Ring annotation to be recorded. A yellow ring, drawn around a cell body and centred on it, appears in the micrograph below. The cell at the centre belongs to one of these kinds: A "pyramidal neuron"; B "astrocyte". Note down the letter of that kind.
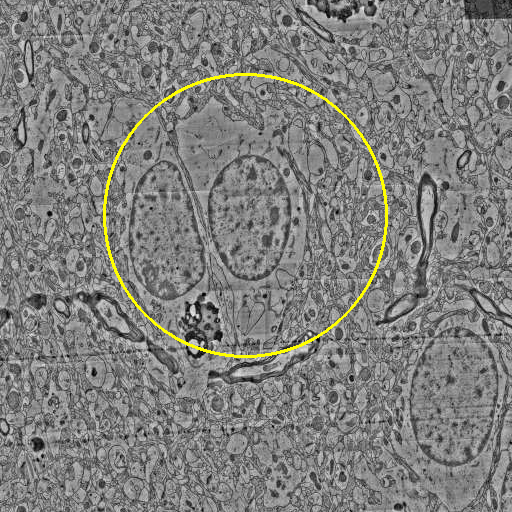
B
